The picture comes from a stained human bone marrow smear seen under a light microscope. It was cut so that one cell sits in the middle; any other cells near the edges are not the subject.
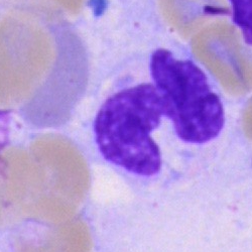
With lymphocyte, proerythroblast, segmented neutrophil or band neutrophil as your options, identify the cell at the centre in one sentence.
The center cell of this crop is a segmented neutrophil.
